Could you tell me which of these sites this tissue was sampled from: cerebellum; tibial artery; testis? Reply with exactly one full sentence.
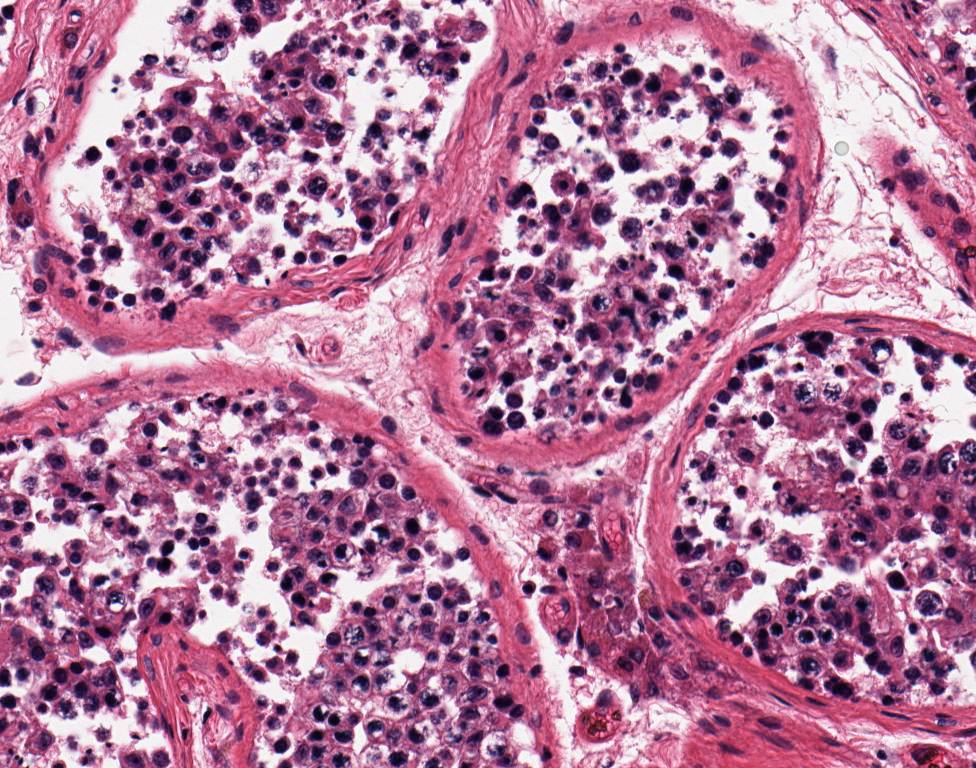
From the testis this tissue was sampled.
